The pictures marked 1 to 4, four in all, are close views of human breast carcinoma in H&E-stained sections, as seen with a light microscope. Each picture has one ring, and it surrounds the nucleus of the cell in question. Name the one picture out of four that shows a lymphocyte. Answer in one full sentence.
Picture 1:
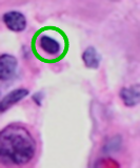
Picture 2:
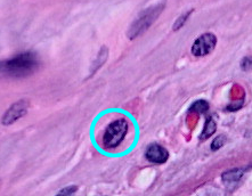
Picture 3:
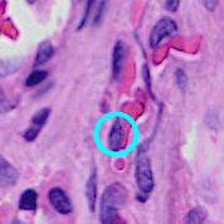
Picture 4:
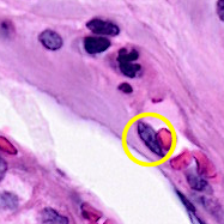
Picture 1 shows the lymphocyte.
